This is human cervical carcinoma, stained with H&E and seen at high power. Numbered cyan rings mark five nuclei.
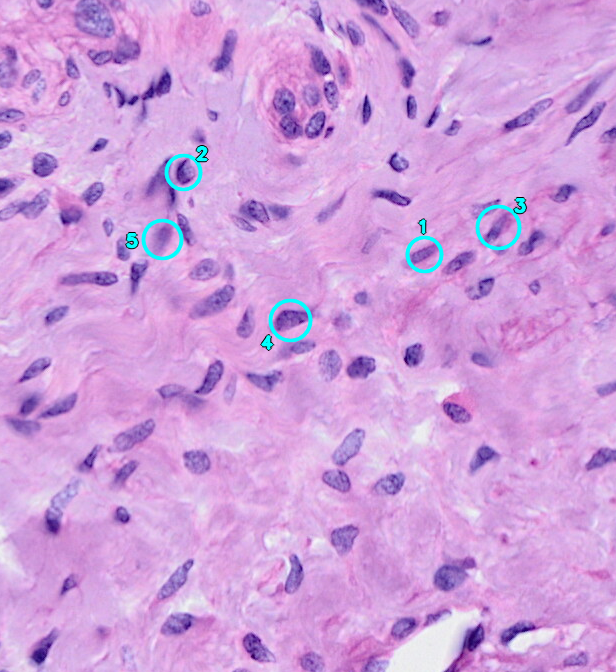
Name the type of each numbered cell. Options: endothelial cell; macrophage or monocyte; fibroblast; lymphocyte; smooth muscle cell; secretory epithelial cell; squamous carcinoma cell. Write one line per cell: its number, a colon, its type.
1: smooth muscle cell
2: fibroblast
3: smooth muscle cell
4: fibroblast
5: fibroblast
